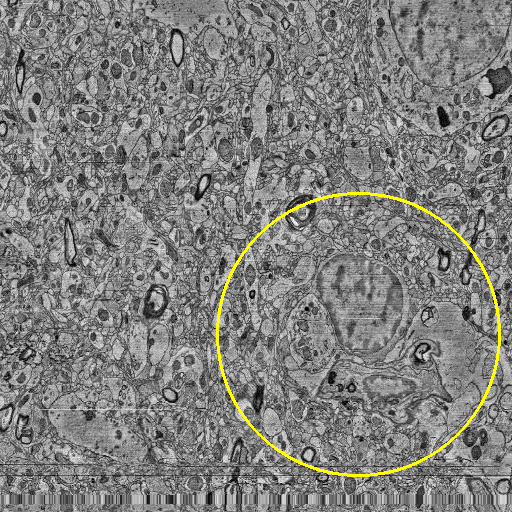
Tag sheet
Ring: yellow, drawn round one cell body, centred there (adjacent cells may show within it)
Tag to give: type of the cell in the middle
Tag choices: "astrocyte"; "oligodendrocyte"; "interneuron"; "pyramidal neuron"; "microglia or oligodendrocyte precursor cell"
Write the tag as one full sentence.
I tag the cell centred in the yellow ring as an oligodendrocyte in this picture.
